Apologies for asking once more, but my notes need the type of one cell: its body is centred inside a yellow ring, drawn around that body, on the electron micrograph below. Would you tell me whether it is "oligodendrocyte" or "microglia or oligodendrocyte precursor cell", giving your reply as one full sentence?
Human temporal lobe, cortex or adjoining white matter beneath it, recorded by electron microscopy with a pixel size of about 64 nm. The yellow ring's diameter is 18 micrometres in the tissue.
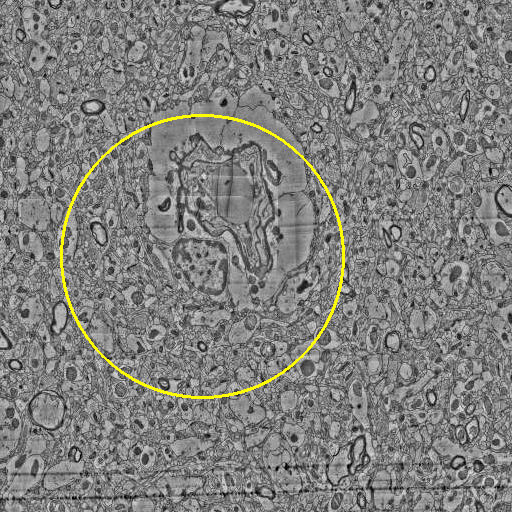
The cell that the yellow ring is centred on is a microglial cell or oligodendrocyte precursor cell in this micrograph.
